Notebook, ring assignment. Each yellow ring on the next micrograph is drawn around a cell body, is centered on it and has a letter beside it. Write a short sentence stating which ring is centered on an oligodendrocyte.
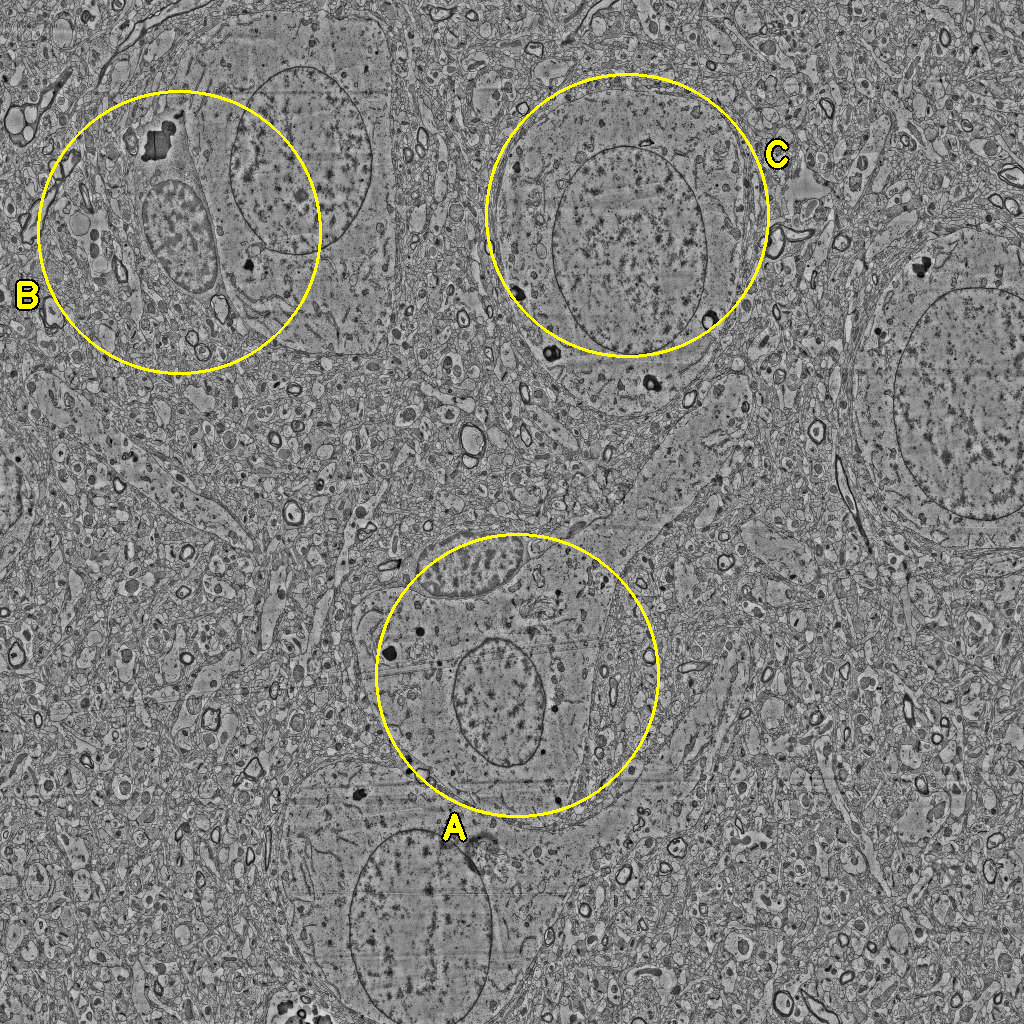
Ring B is centered on it.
